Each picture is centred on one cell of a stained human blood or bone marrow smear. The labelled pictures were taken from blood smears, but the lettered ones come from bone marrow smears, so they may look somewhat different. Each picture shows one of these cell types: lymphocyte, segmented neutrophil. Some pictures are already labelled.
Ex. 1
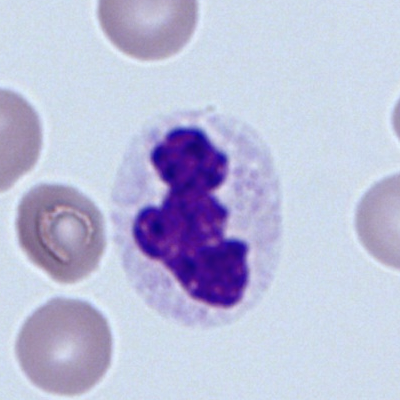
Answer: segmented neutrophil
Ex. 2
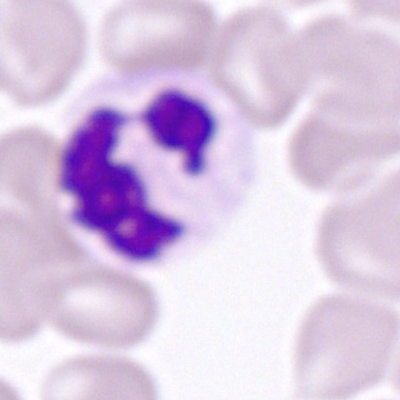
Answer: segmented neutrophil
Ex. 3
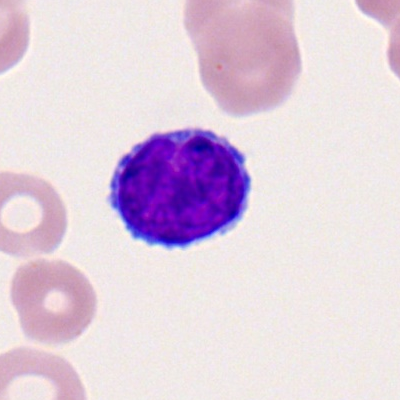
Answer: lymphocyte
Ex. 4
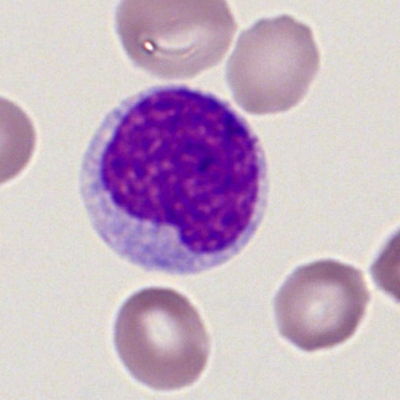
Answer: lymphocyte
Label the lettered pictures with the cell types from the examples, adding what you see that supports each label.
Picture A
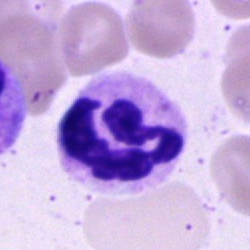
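segmented neutrophil. The cytoplasm is abundant and pale lilac.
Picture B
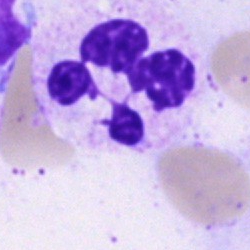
segmented neutrophil. The cytoplasm is abundant and pale pinkish-lilac.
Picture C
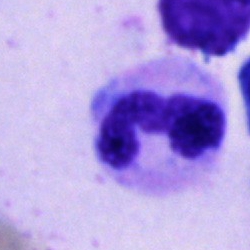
segmented neutrophil. The nucleus is a curved band bent like an arch, with its open side facing downward.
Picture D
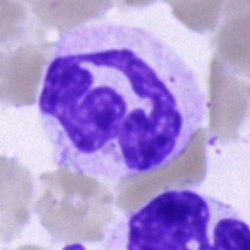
segmented neutrophil. The nucleus is a thick curved band that folds around a pale central space.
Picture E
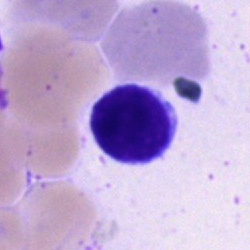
lymphocyte. Cytoplasm is very scant, at most a thin rim at the edge.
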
